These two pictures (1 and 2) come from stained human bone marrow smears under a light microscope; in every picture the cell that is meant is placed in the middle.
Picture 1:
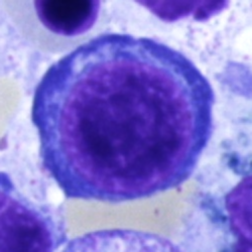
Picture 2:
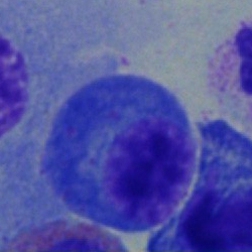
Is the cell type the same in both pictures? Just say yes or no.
no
